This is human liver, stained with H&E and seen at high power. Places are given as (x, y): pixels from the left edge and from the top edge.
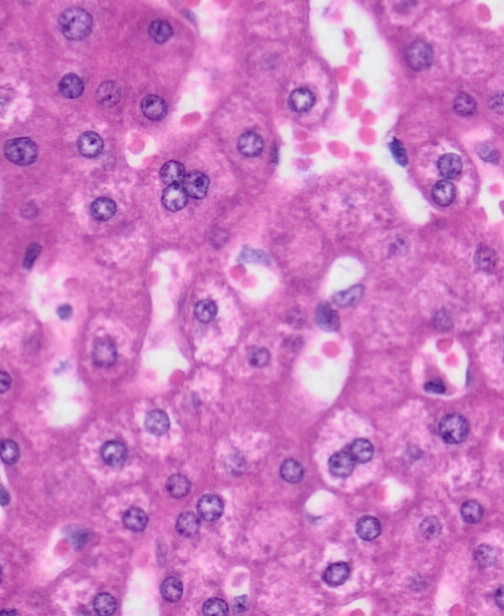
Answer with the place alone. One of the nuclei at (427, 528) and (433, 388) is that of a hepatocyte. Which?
(427, 528)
